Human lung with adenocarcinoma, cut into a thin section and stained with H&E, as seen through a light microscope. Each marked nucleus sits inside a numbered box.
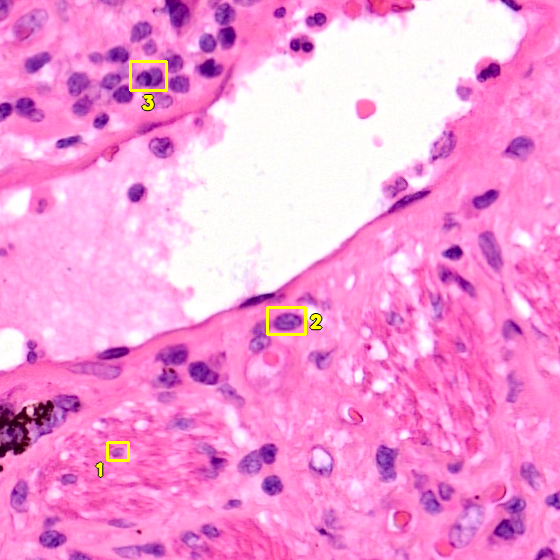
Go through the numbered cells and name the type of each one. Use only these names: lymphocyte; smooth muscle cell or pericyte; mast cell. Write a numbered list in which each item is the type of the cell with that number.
1. smooth muscle cell or pericyte
2. mast cell
3. lymphocyte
